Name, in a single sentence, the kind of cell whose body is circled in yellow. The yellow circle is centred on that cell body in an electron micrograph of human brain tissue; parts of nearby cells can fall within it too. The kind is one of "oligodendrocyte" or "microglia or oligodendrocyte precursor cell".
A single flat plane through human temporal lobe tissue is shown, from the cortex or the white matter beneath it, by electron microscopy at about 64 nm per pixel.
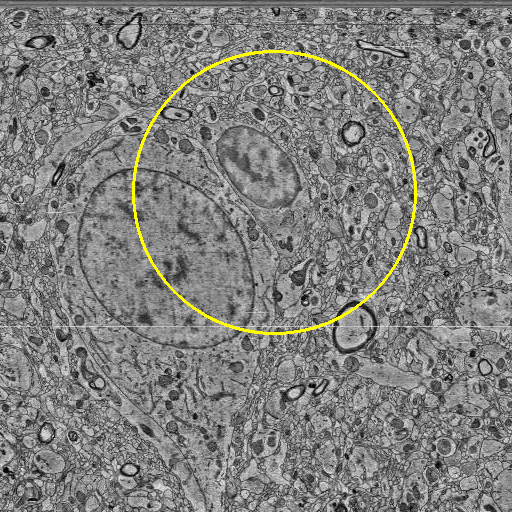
The circled cell body belongs to an oligodendrocyte.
